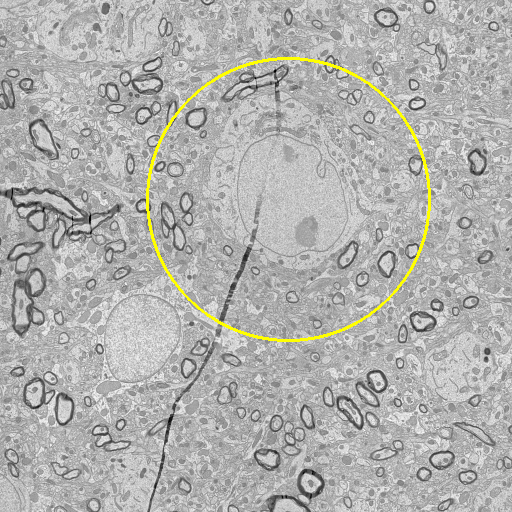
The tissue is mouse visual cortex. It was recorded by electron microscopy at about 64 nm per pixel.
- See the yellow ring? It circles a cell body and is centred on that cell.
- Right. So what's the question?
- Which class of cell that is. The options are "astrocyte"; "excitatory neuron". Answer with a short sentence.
The centre of the ring holds an excitatory neuron.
